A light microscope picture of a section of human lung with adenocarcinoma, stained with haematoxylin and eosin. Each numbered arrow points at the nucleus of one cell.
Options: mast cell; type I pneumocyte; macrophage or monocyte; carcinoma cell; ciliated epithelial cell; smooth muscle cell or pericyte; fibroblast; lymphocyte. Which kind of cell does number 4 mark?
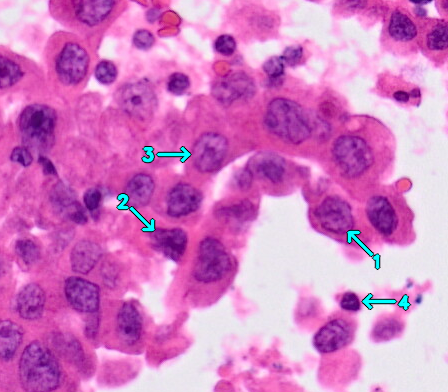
lymphocyte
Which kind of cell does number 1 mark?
carcinoma cell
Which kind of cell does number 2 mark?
carcinoma cell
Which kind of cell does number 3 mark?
carcinoma cell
